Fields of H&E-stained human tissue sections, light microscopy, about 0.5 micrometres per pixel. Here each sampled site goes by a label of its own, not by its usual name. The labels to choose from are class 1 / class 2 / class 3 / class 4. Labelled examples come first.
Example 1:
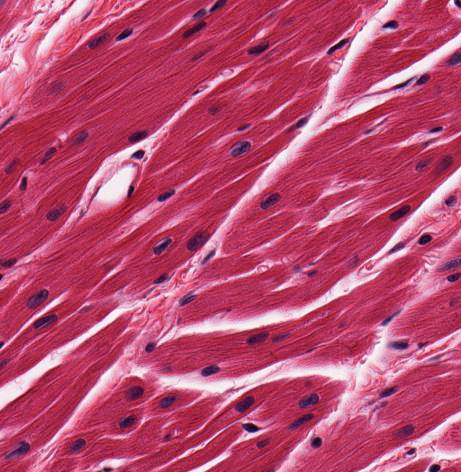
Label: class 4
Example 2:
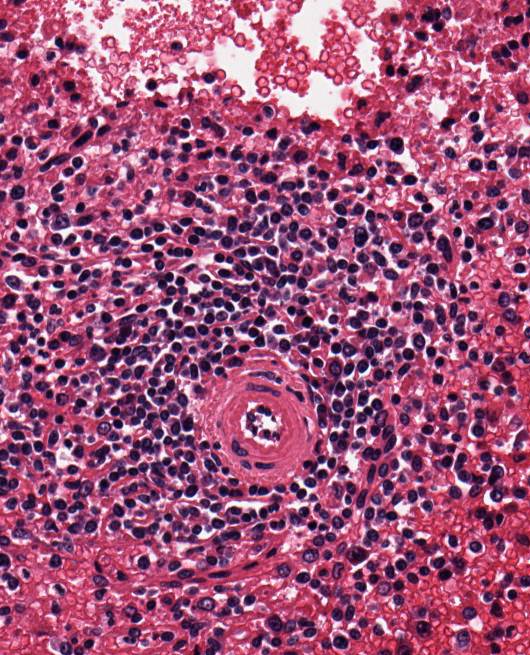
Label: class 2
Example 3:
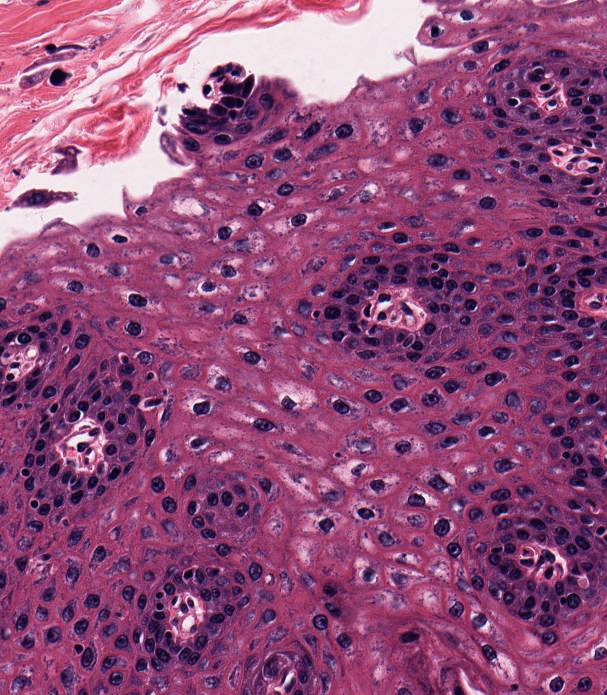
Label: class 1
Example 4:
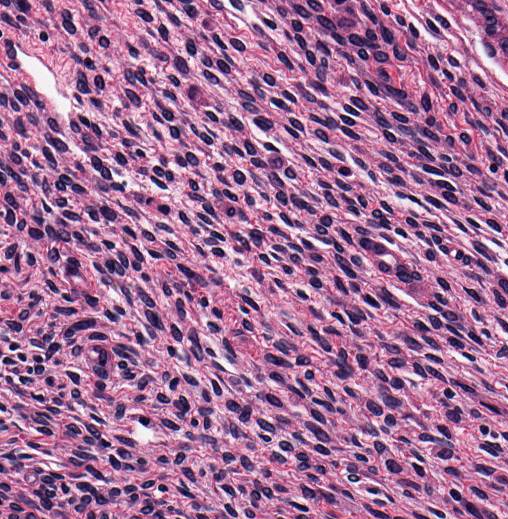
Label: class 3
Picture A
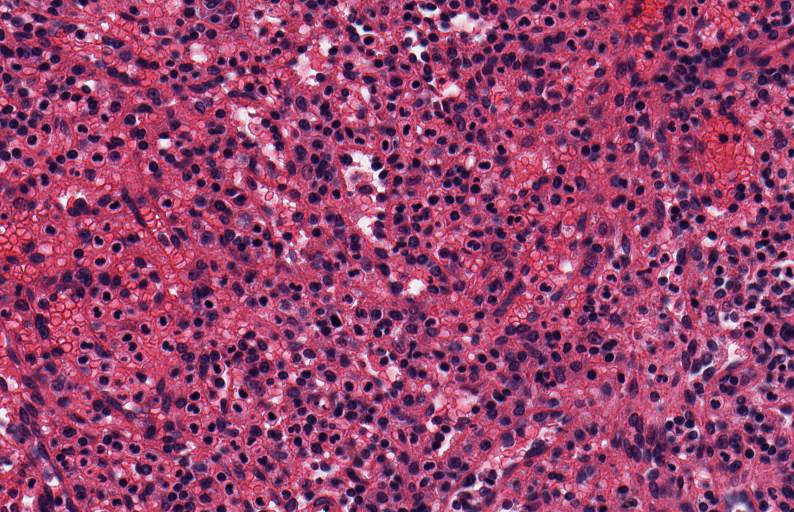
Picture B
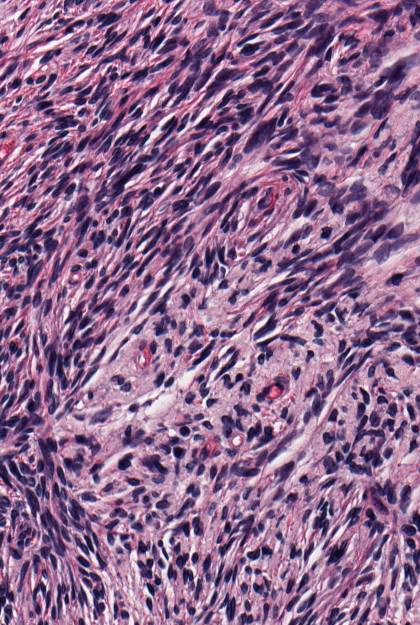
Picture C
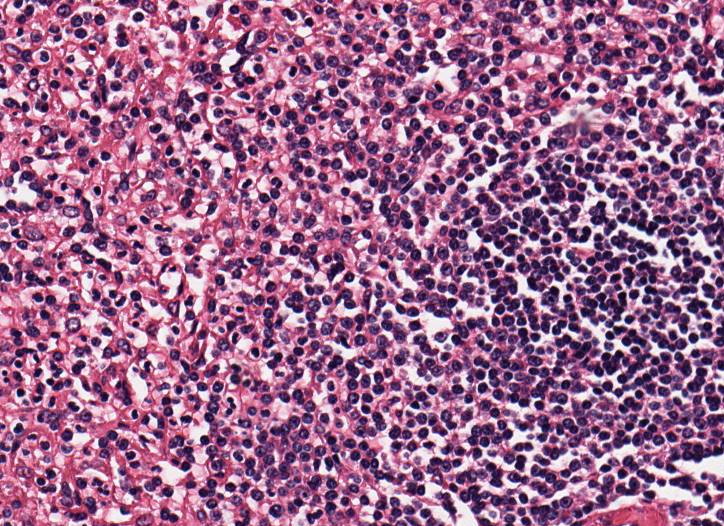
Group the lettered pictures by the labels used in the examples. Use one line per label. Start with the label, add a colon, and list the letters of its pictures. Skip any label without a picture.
class 2: A, C
class 3: B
